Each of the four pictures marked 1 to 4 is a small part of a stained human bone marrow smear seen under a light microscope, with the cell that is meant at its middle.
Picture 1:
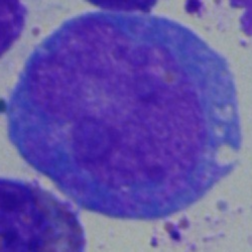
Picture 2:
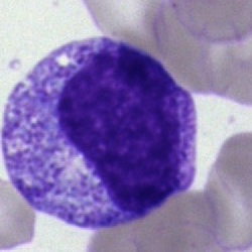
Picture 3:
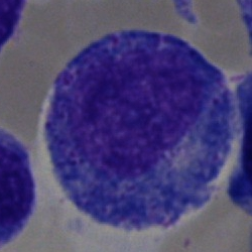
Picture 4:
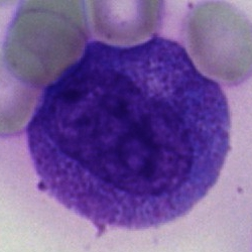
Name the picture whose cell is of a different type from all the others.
2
